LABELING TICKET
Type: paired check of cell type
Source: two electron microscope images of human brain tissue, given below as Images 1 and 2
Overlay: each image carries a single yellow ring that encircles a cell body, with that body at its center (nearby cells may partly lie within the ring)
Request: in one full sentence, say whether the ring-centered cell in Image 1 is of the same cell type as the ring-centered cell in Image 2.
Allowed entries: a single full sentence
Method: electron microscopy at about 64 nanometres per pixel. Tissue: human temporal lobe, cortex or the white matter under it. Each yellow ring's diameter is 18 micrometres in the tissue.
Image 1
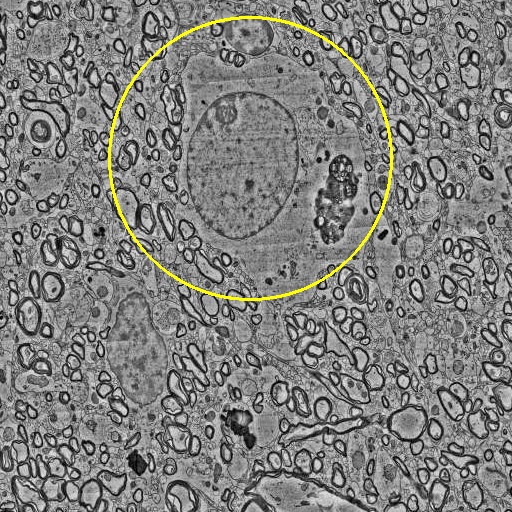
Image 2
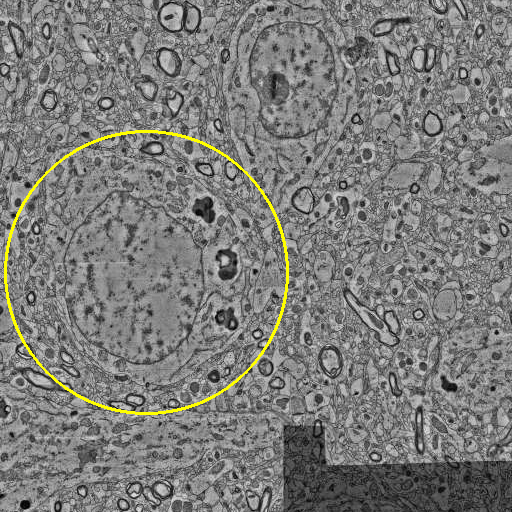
No, the cells centered in the rings of Image 1 and Image 2 are of two types.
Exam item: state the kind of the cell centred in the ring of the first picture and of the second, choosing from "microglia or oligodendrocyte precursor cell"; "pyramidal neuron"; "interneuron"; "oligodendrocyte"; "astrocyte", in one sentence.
The first picture shows an astrocyte at the ring centre and the second shows a pyramidal neuron.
